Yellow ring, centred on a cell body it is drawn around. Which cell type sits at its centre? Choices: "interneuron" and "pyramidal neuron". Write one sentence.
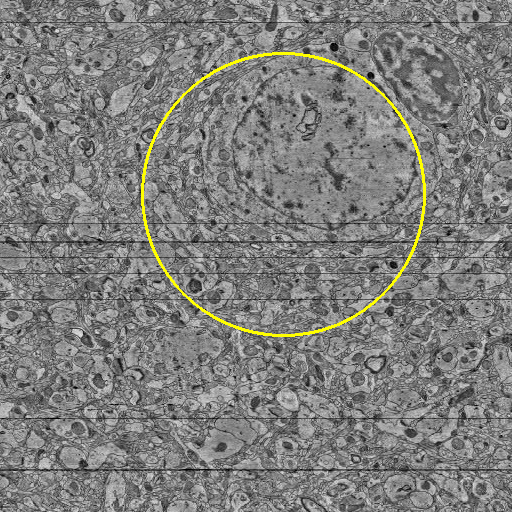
At the centre of the ring sits a pyramidal neuron.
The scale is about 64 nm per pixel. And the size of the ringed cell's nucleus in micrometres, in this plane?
In this plane, approximately 11 micrometres across.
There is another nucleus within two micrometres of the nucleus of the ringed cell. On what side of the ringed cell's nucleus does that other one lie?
The other nucleus is located to the upper right of it.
